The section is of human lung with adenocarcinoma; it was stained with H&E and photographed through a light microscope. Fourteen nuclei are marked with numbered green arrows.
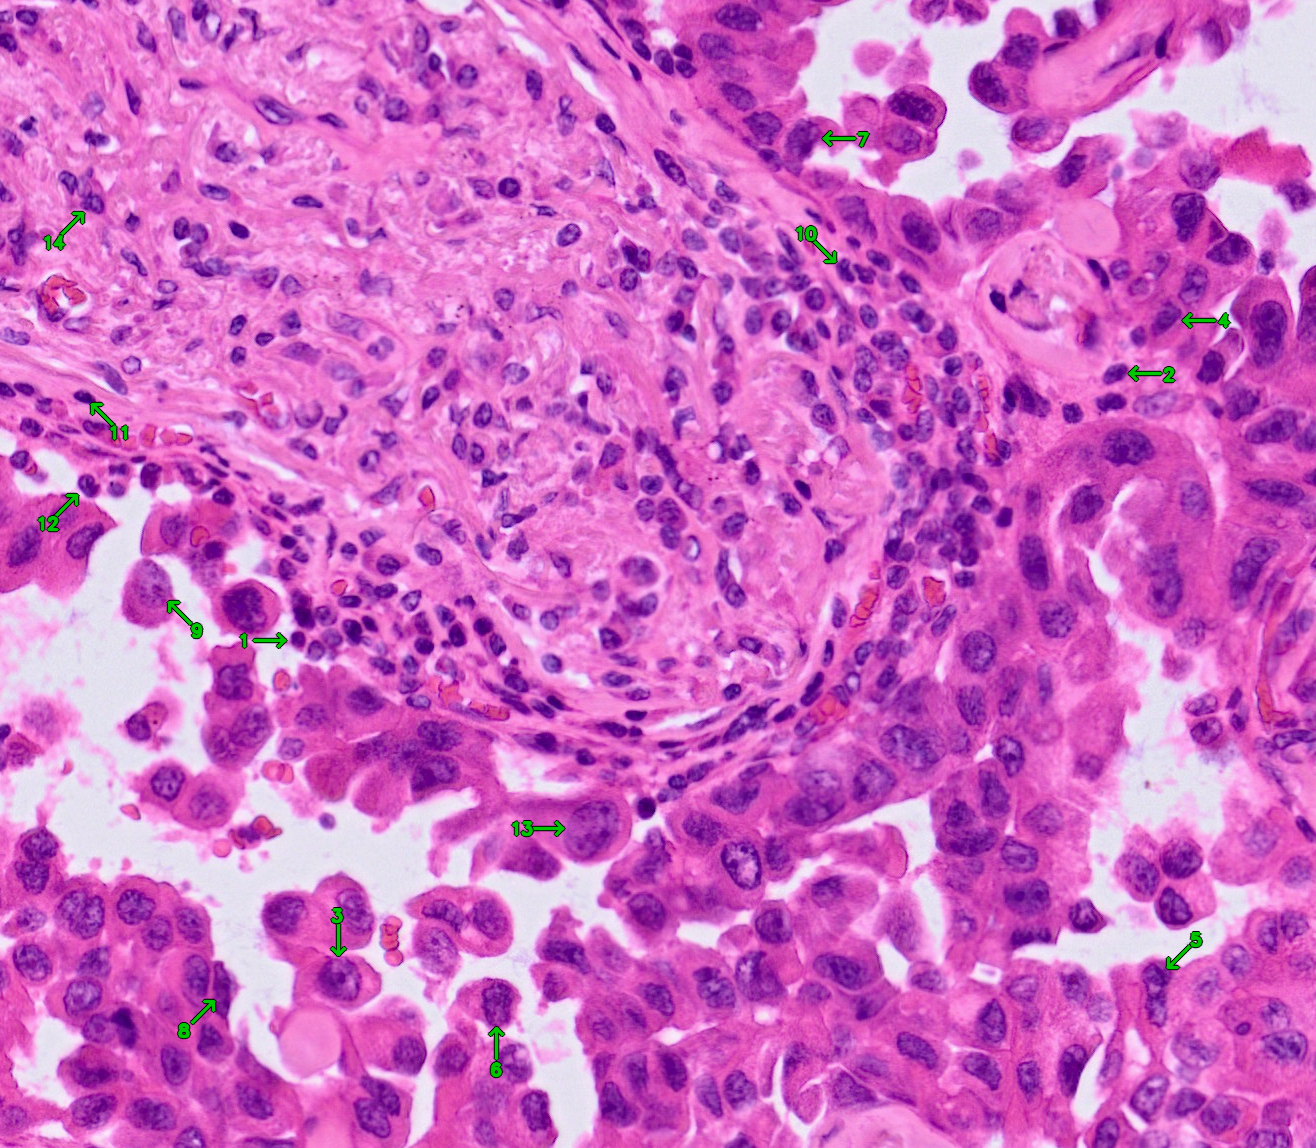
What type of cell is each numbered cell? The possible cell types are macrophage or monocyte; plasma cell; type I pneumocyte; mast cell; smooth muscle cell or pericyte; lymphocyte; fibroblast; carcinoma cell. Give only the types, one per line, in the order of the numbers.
lymphocyte
lymphocyte
carcinoma cell
carcinoma cell
carcinoma cell
carcinoma cell
carcinoma cell
carcinoma cell
carcinoma cell
lymphocyte
lymphocyte
lymphocyte
carcinoma cell
plasma cell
